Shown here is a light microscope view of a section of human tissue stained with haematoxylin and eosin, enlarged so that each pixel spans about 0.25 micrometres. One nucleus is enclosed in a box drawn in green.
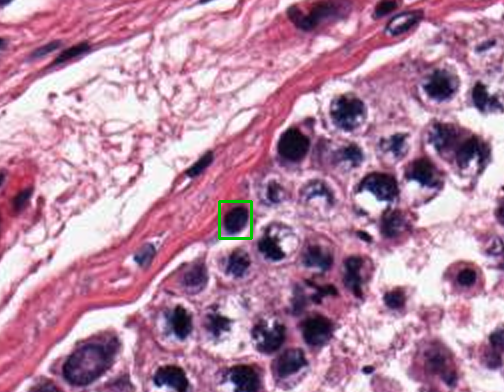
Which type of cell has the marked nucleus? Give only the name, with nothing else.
spermatogonium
